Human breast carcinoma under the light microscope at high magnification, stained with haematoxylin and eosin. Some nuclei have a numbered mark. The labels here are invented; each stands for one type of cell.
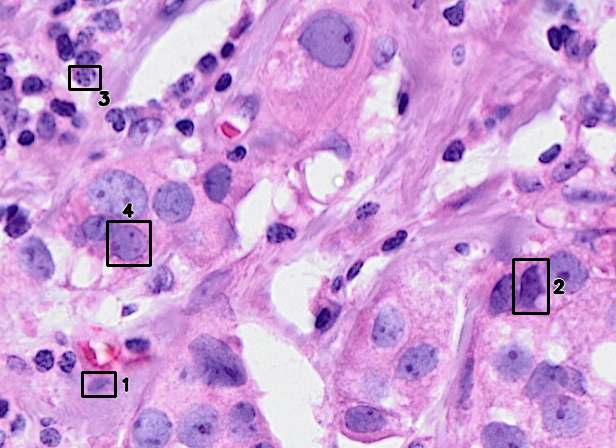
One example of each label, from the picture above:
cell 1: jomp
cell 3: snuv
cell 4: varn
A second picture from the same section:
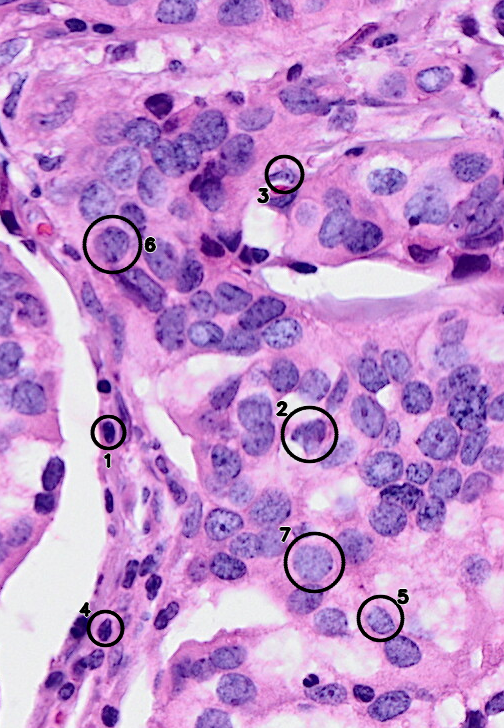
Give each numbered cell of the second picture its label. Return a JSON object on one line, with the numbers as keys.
{"1": "snuv", "2": "varn", "3": "jomp", "4": "snuv", "5": "varn", "6": "varn", "7": "varn"}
